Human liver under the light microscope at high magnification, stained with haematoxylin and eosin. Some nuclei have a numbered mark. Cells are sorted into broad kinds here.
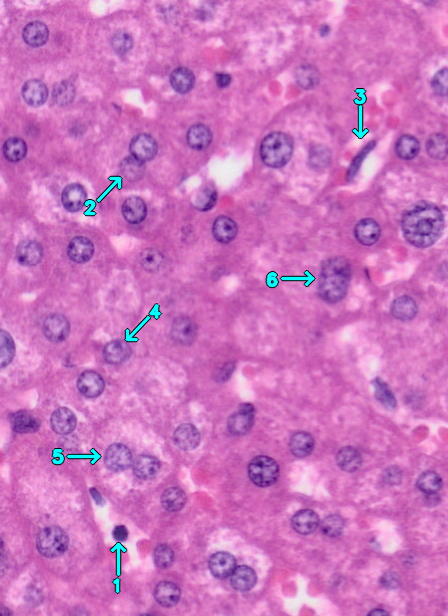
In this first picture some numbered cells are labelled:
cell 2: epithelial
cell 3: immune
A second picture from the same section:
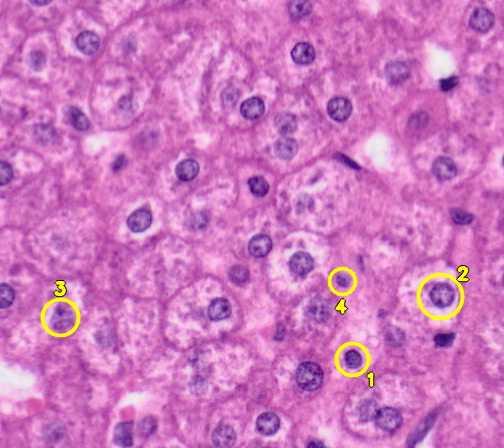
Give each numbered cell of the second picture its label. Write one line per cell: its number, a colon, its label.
1: immune
2: epithelial
3: epithelial
4: immune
